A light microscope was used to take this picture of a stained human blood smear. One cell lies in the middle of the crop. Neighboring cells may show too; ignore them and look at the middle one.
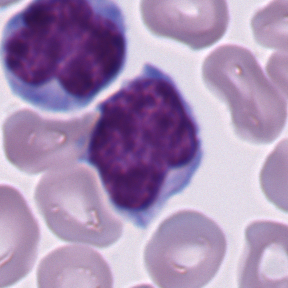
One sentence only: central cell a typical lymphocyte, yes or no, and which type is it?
No, the cell in the middle is not a typical lymphocyte but a myeloblast.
